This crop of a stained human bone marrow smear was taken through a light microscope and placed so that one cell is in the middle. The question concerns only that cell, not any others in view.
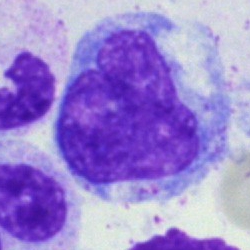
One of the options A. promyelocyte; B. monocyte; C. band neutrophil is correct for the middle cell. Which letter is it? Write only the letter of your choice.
B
